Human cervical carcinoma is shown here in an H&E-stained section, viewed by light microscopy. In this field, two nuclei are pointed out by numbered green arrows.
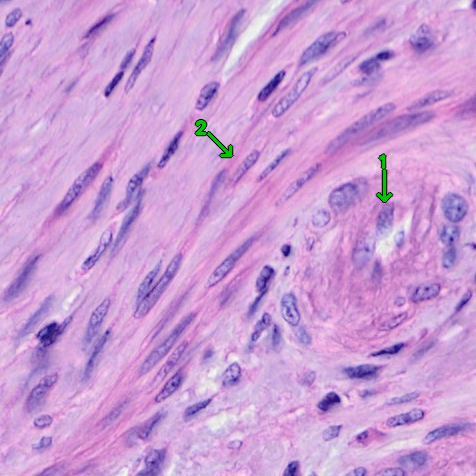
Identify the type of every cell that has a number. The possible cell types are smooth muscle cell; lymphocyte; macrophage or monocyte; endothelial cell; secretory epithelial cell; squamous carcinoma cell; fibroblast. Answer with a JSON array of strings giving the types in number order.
["endothelial cell", "smooth muscle cell"]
